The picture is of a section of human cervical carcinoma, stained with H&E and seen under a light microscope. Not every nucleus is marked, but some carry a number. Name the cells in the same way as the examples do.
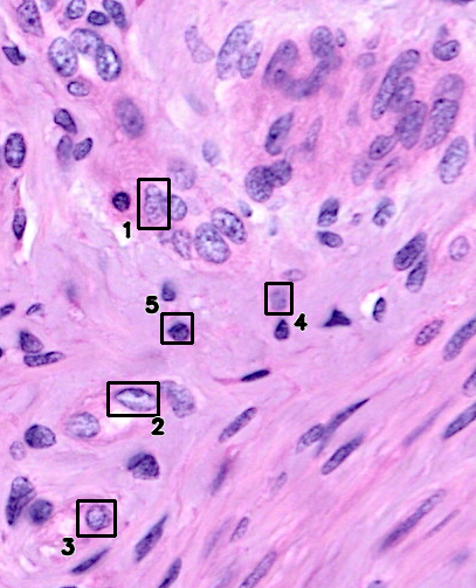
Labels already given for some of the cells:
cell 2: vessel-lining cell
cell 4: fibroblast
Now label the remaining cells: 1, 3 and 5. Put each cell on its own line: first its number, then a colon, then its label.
1: vessel-lining cell
3: vessel-lining cell
5: fibroblast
